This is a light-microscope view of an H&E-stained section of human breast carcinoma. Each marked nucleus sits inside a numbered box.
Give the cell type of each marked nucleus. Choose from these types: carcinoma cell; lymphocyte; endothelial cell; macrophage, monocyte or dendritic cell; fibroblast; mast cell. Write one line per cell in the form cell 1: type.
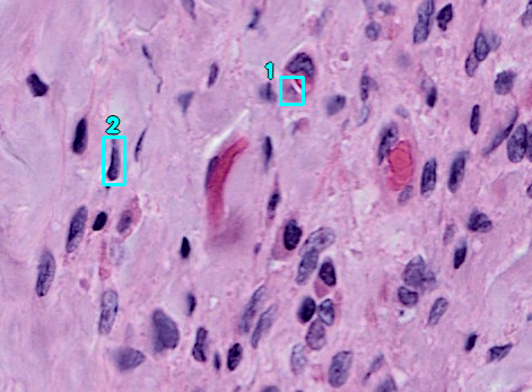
cell 1: endothelial cell
cell 2: fibroblast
